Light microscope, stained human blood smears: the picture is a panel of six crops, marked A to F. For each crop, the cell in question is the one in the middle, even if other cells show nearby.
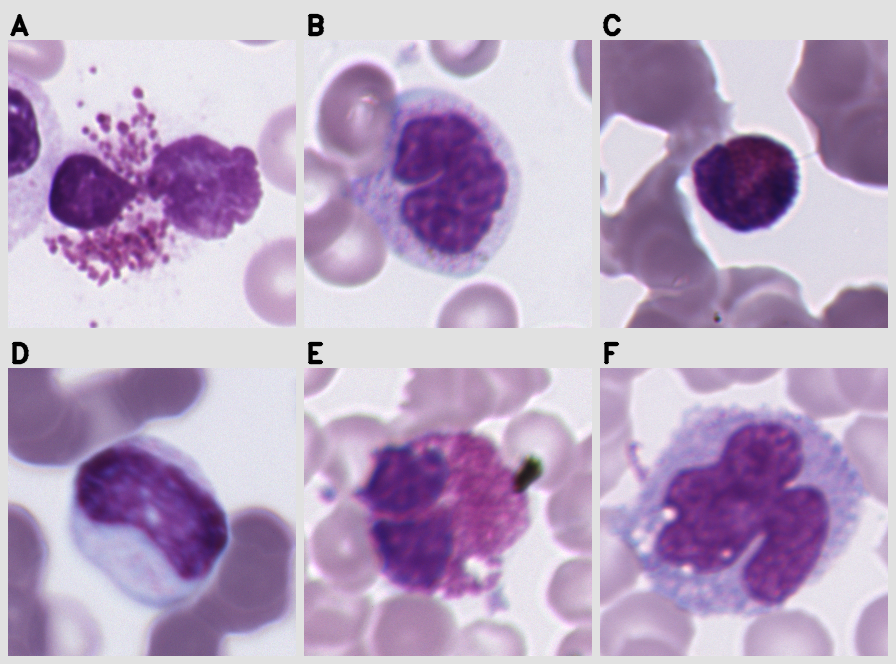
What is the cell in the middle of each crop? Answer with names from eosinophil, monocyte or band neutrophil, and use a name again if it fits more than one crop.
A: eosinophil
B: band neutrophil
C: eosinophil
D: band neutrophil
E: eosinophil
F: monocyte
